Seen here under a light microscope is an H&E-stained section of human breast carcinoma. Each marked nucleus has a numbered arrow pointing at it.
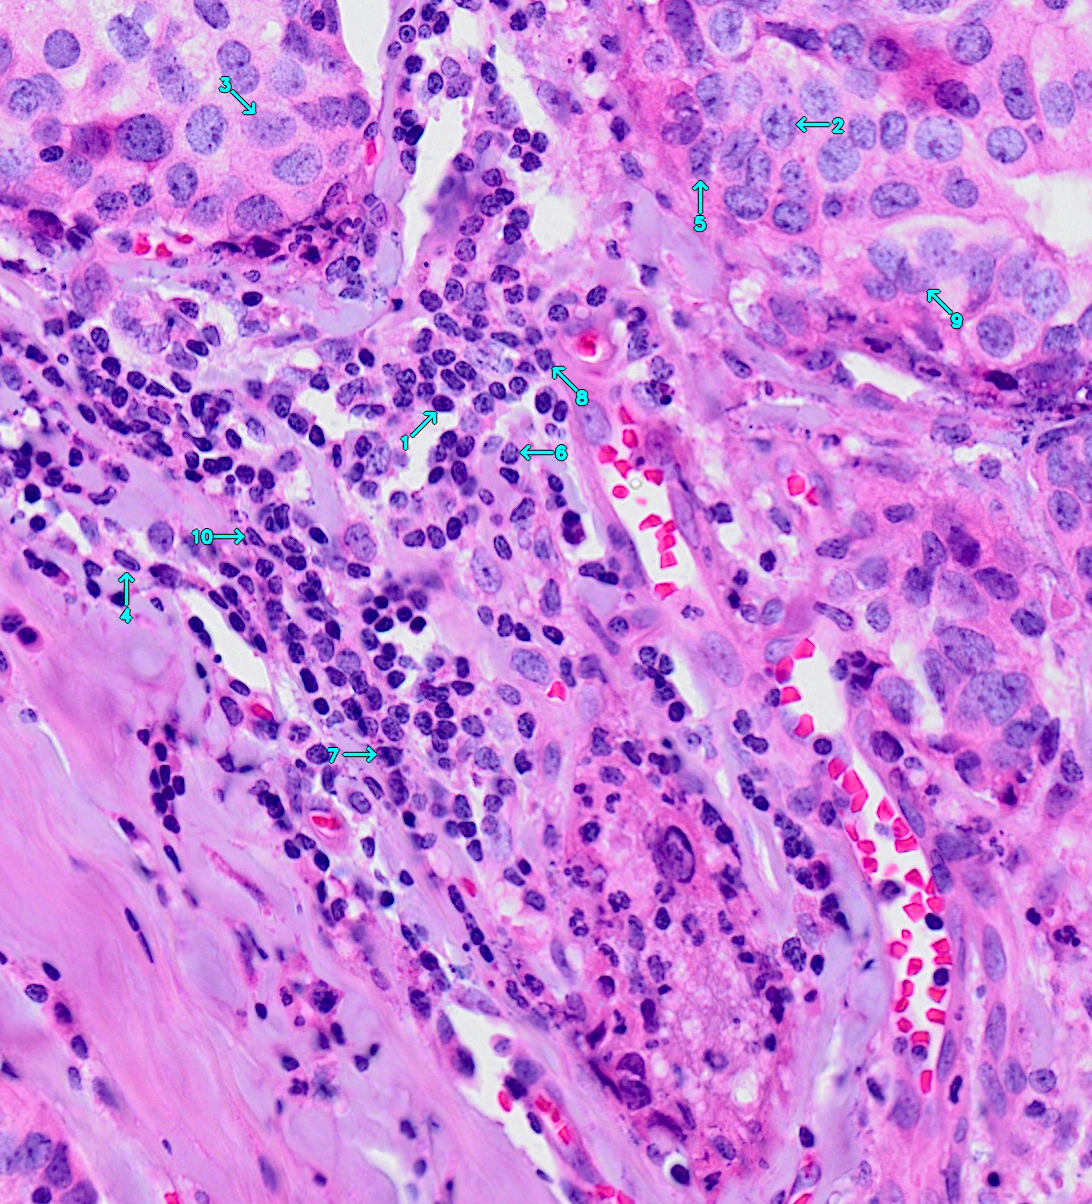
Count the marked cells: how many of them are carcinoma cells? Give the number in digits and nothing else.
4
